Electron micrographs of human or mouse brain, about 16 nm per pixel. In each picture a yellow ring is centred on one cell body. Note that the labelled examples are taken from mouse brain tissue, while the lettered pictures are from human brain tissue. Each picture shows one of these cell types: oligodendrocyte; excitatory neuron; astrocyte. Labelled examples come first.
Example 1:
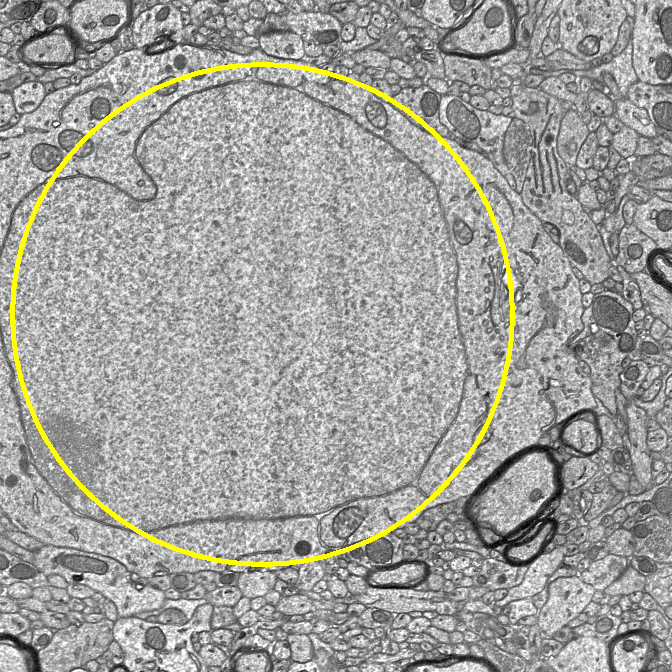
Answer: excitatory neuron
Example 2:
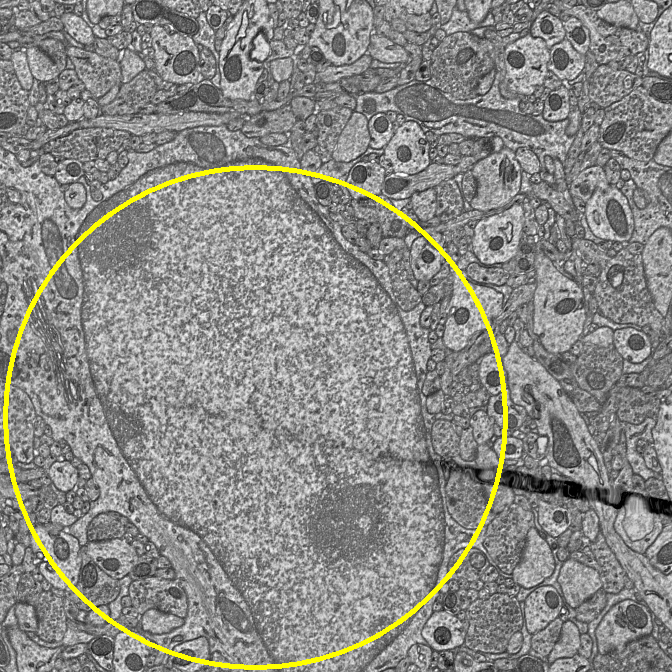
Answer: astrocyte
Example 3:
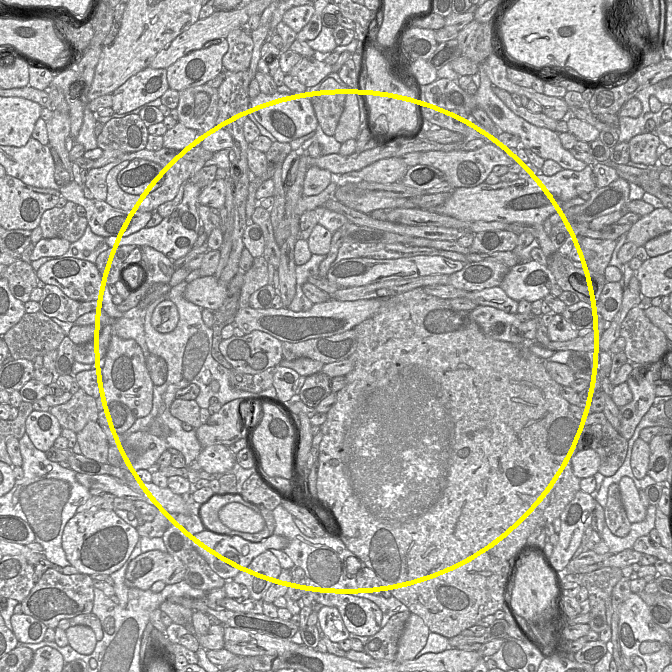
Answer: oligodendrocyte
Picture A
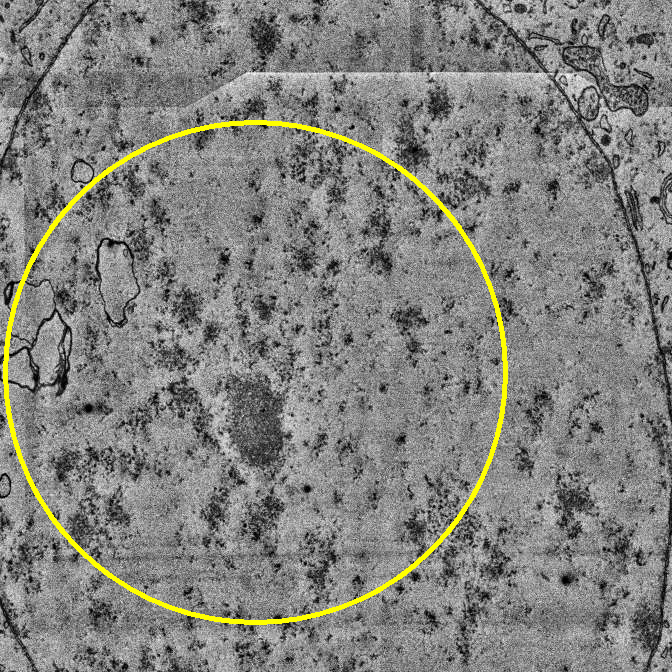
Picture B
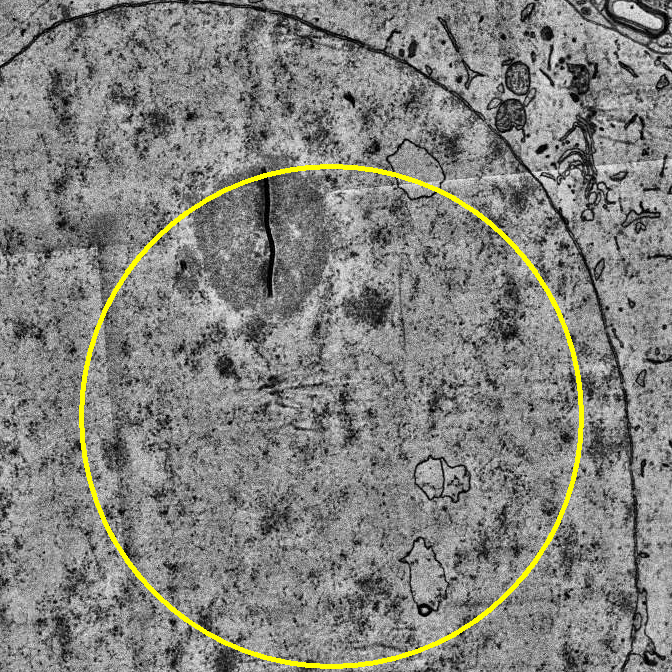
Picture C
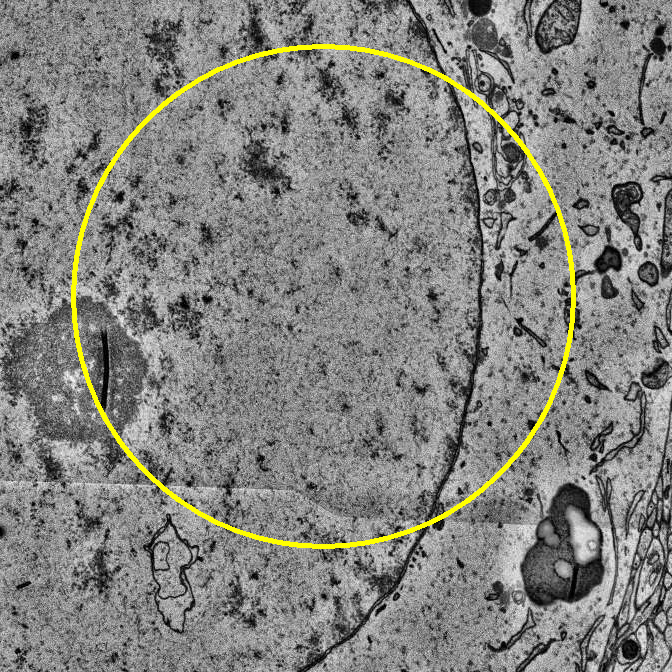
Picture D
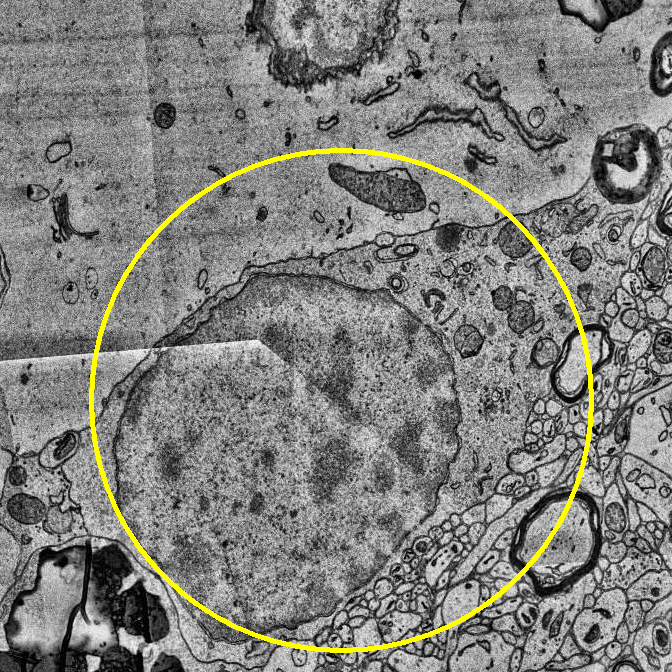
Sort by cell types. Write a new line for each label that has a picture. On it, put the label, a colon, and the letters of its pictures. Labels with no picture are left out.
oligodendrocyte: D
excitatory neuron: A, B, C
